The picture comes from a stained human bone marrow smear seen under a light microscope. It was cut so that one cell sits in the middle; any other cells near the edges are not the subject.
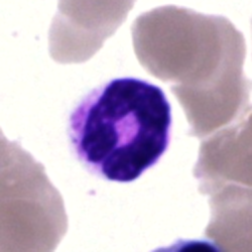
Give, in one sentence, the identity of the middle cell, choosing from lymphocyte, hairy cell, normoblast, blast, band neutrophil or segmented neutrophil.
The single cell at the center of the crop is a segmented neutrophil.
